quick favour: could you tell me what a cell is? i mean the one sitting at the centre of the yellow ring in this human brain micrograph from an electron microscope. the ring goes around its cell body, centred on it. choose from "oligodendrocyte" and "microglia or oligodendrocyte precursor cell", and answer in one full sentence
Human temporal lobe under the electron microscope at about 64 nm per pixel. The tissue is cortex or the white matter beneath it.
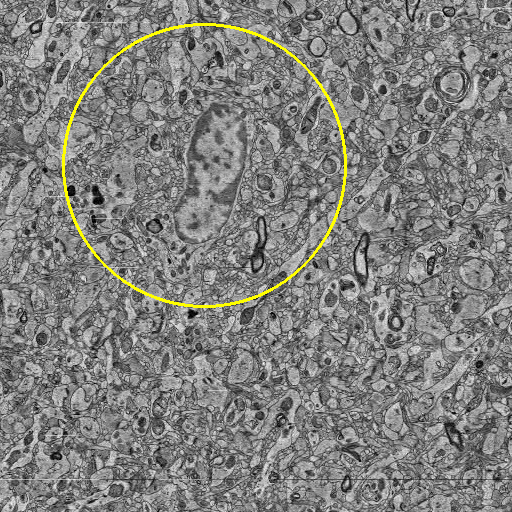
That's a microglial cell or oligodendrocyte precursor cell, the cell sitting at the centre of the yellow ring.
